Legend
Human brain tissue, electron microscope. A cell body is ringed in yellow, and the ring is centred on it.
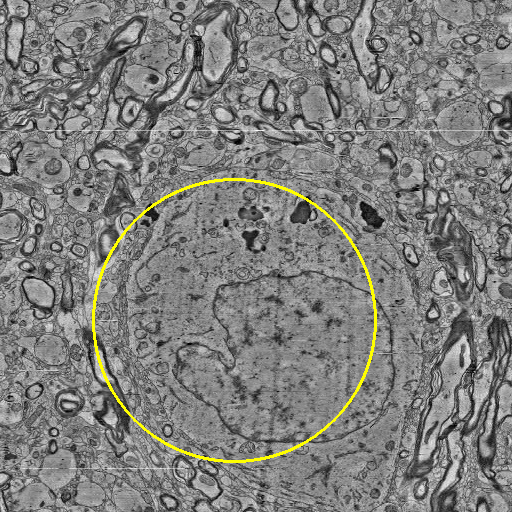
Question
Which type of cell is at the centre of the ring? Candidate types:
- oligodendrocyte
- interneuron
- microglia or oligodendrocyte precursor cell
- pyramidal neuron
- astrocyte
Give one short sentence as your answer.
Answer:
The yellow ring is centred here on a pyramidal neuron.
